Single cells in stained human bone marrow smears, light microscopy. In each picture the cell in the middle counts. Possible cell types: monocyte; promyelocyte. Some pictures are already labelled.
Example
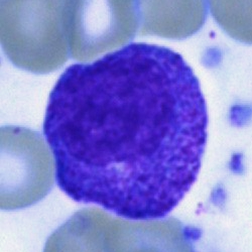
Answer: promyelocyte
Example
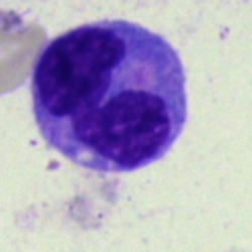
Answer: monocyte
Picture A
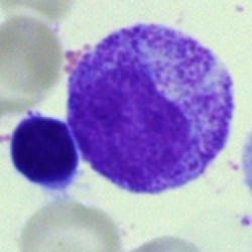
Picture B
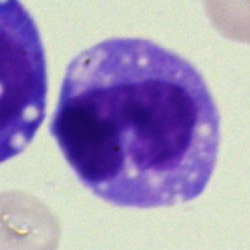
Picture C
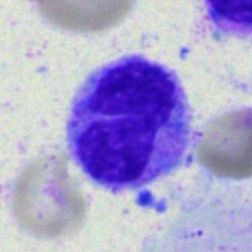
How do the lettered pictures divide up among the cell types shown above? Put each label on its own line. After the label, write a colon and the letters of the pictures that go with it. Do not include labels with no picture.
monocyte: B, C
promyelocyte: A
